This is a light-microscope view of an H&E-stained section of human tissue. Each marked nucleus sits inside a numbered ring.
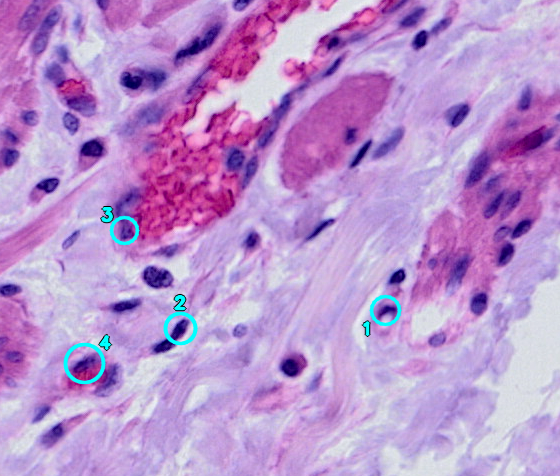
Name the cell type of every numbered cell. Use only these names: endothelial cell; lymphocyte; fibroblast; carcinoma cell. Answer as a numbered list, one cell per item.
1. endothelial cell
2. lymphocyte
3. endothelial cell
4. endothelial cell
